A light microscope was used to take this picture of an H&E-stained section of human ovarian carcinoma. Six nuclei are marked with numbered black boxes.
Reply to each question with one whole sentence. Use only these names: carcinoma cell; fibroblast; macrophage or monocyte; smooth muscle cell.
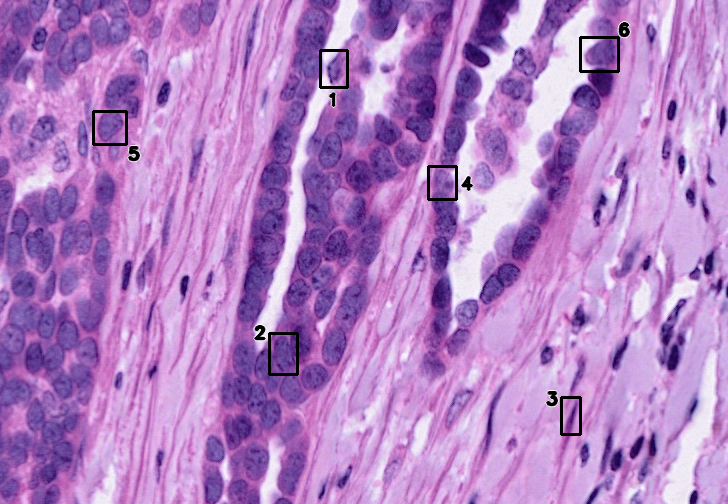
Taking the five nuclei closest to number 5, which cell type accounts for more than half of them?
Around number 5, most of the five nearest nuclei are those of fibroblasts.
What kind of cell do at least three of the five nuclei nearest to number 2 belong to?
Carcinoma cells make up most of the five nuclei closest to number 2.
